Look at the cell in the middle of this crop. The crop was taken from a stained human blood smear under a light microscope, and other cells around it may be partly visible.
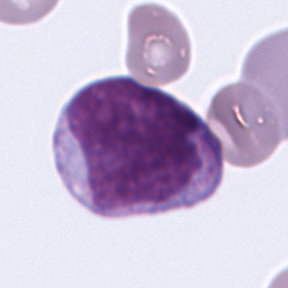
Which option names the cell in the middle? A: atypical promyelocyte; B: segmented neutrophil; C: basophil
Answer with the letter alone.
A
